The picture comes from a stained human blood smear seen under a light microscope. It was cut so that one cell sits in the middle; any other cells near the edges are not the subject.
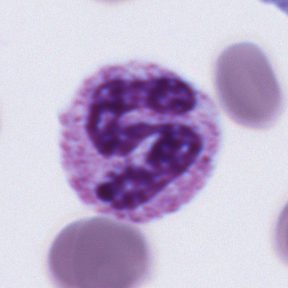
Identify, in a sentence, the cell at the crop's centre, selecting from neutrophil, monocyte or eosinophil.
The centrally located cell in the crop is a neutrophil.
